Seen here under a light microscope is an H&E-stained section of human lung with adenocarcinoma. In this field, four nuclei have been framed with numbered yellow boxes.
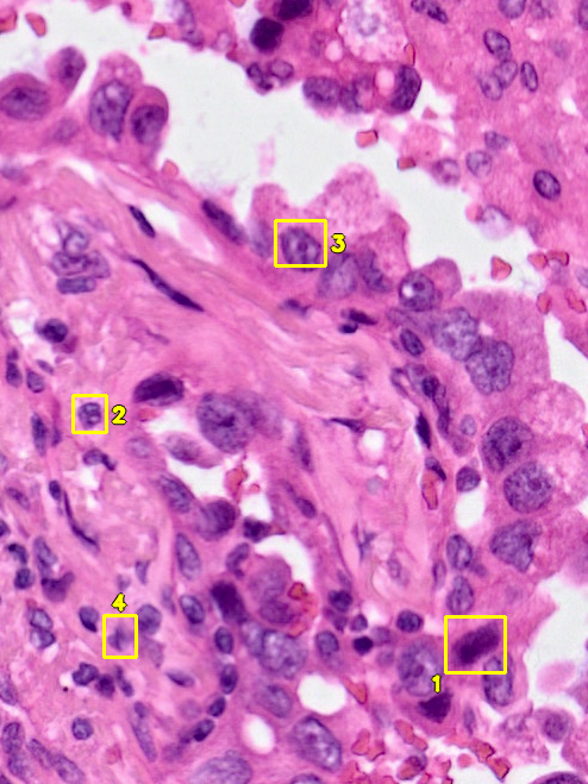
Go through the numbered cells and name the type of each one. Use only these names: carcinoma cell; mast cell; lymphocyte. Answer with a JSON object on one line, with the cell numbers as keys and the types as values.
{"1": "carcinoma cell", "2": "lymphocyte", "3": "carcinoma cell", "4": "lymphocyte"}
